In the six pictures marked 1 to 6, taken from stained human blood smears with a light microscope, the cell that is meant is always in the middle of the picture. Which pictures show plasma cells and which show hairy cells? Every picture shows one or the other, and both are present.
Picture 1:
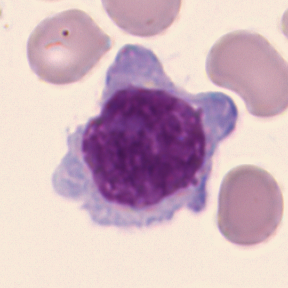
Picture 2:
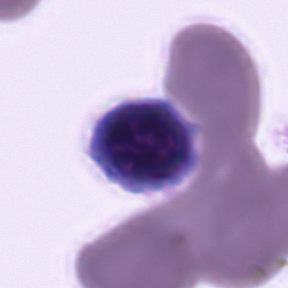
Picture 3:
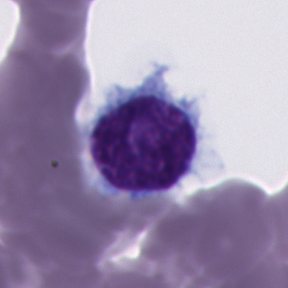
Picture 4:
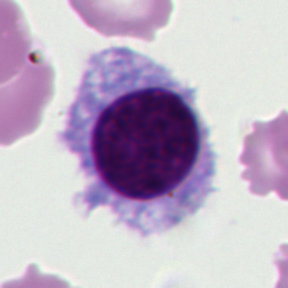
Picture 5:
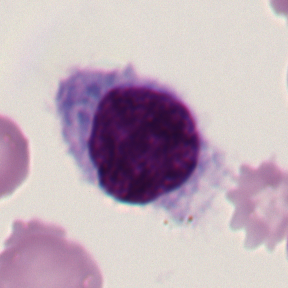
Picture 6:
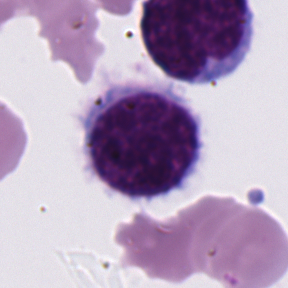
1: plasma cell
2: plasma cell
3: hairy cell
4: hairy cell
5: hairy cell
6: hairy cell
